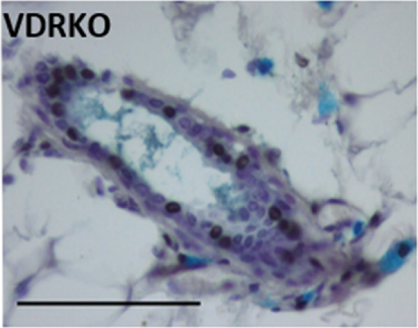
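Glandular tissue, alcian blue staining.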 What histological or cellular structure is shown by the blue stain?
Glycosaminoglycans.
